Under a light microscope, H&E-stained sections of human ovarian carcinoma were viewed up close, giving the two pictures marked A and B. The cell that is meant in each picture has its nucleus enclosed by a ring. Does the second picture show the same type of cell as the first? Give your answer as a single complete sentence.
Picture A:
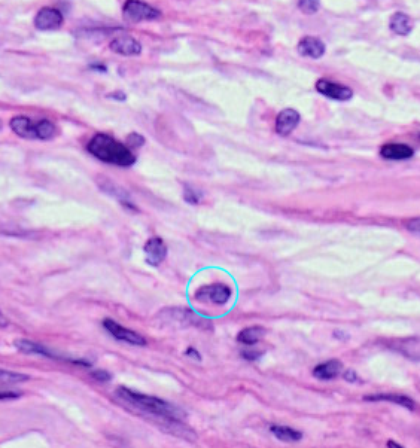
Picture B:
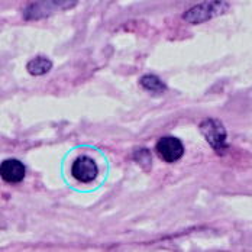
Yes, both cells are lymphocytes.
